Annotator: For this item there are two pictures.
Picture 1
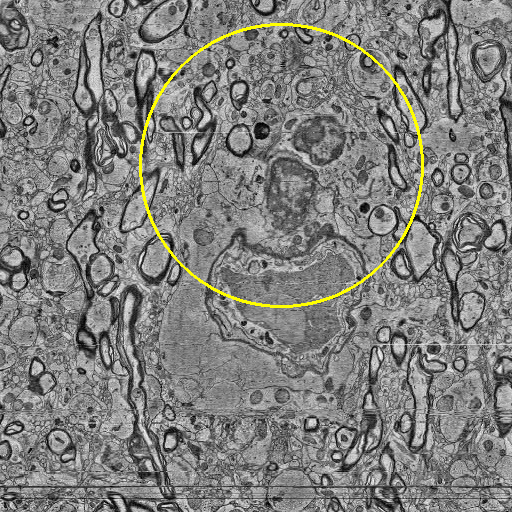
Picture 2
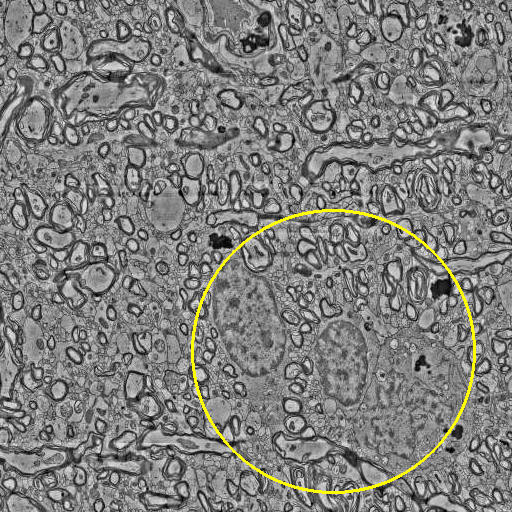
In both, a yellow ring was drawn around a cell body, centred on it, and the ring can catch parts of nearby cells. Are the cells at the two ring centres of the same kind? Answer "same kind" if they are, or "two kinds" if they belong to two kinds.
same kind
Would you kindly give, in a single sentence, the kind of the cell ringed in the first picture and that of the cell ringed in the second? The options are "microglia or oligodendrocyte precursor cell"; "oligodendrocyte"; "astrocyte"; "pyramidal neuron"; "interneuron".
The ring centre holds an oligodendrocyte in each of the two pictures.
